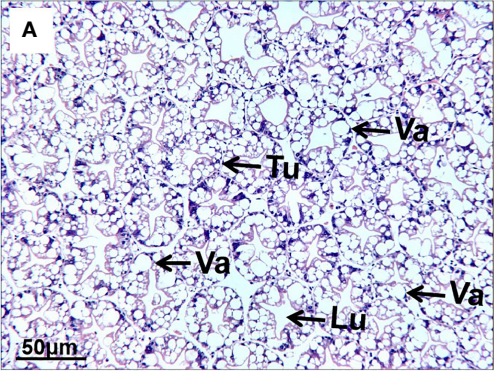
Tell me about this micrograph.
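This section shows hepatopancreas tissue, made up of closely packed tubules cut mostly in cross section and lined by a single layer of epithelial cells. The epithelial cells are filled with many round, clear vacuoles of varying size, so the tissue looks pale and bubbly. Small dark purple nuclei lie scattered along the epithelium. Pale pink cytoplasm and thin pink connective tissue form only narrow strands between the vacuoles. Each tubule has a central lumen that is often irregular or star-shaped and appears empty and clear.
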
